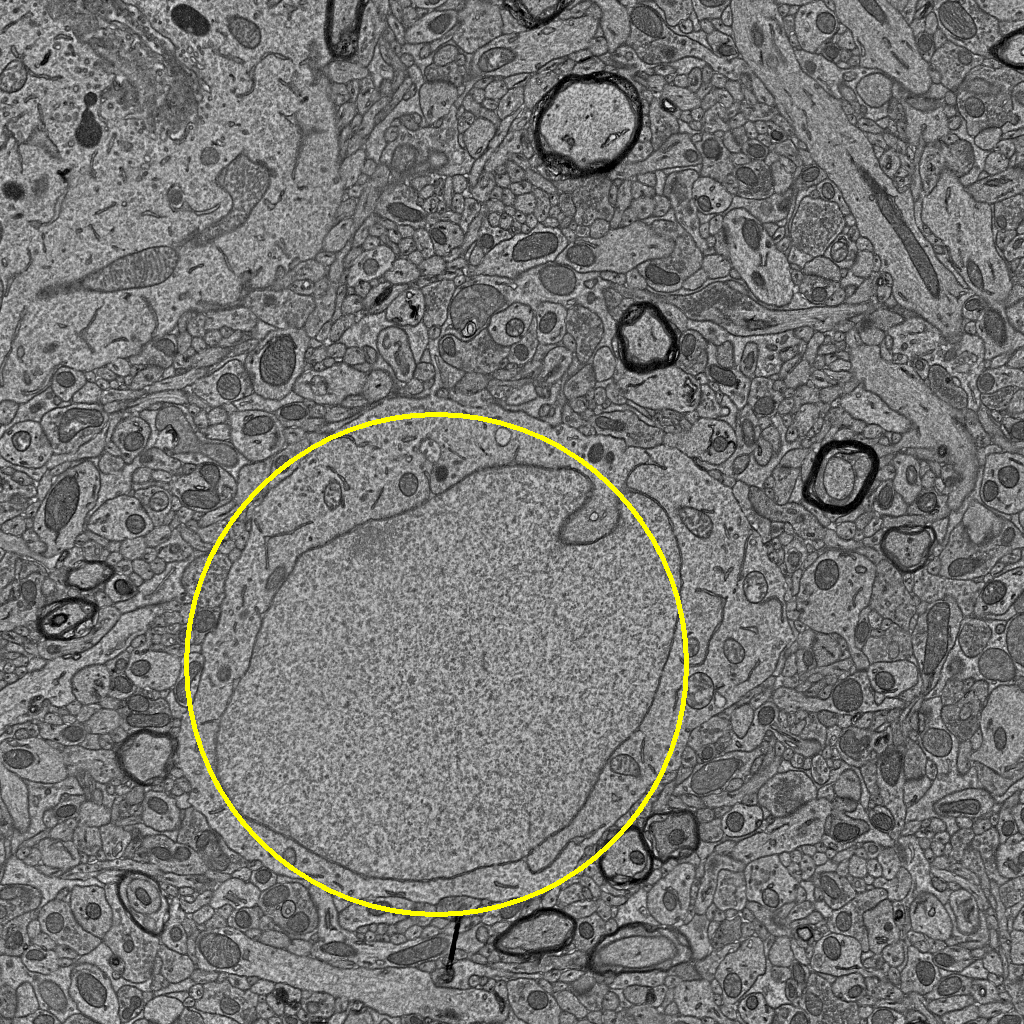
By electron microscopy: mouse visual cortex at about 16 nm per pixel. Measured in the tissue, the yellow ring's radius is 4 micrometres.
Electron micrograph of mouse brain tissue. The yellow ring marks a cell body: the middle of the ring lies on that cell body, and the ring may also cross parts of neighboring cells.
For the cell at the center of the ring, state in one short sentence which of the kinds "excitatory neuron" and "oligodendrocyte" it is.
This ring's center lies on an excitatory neuron.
